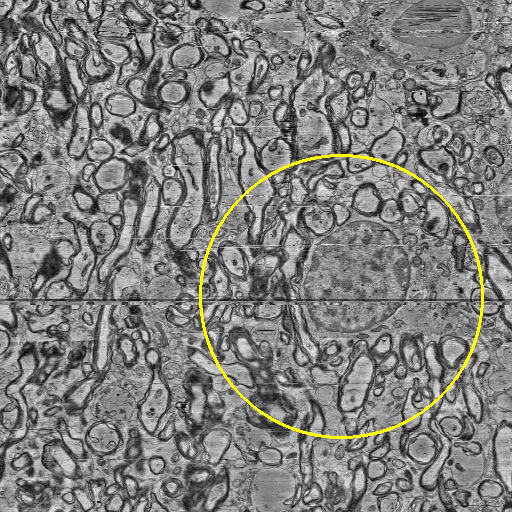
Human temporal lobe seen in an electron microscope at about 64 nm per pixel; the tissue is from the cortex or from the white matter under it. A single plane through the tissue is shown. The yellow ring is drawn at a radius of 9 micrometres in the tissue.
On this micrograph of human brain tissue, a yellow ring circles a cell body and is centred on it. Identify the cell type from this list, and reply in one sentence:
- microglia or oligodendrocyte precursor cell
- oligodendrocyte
The cell at the centre is an oligodendrocyte.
